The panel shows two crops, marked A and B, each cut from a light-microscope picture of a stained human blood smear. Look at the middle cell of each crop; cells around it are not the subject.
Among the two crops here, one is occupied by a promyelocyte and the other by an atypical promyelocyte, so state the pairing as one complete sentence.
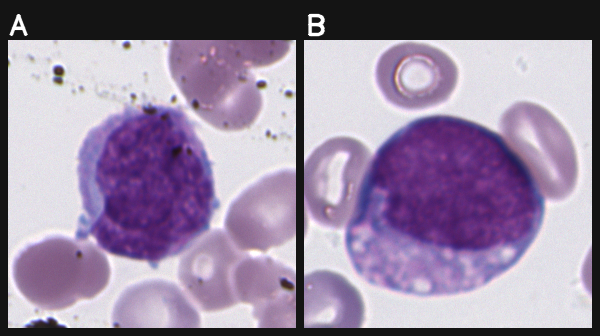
Crop A is recognised as an atypical promyelocyte, crop B as a promyelocyte.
